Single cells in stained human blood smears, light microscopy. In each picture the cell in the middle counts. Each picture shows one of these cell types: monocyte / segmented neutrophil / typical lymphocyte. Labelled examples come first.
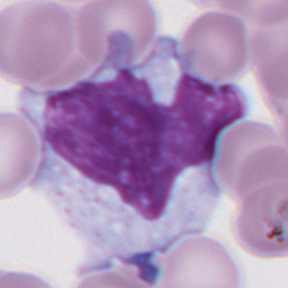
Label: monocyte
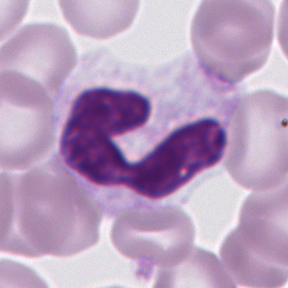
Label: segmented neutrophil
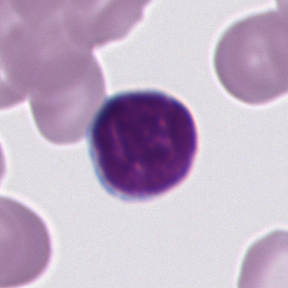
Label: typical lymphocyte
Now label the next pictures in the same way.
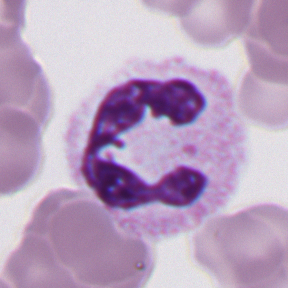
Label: segmented neutrophil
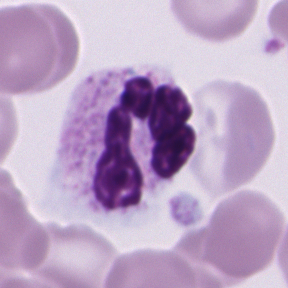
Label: segmented neutrophil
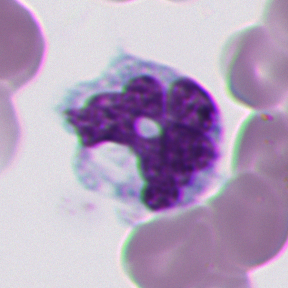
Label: monocyte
